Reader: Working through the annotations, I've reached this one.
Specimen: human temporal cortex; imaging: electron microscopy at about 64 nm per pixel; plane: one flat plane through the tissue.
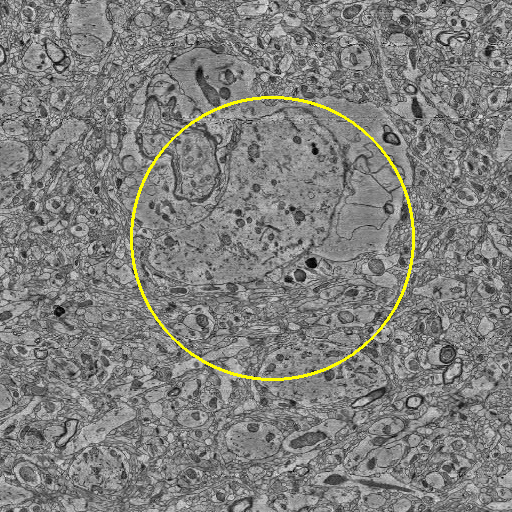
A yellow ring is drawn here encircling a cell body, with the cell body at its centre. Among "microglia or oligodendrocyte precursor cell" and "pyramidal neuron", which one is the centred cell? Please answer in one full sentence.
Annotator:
The cell body at the centre of the yellow ring in this image belongs to a microglial cell or oligodendrocyte precursor cell.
